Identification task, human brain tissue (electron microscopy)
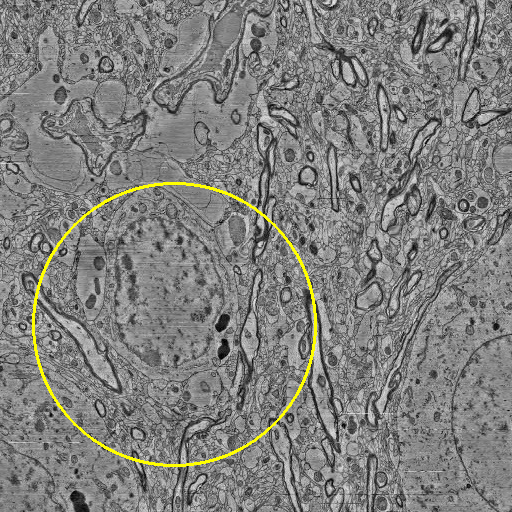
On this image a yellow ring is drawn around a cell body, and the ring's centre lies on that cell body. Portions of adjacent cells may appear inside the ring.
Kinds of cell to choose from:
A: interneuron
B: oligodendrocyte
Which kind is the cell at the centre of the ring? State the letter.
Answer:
A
